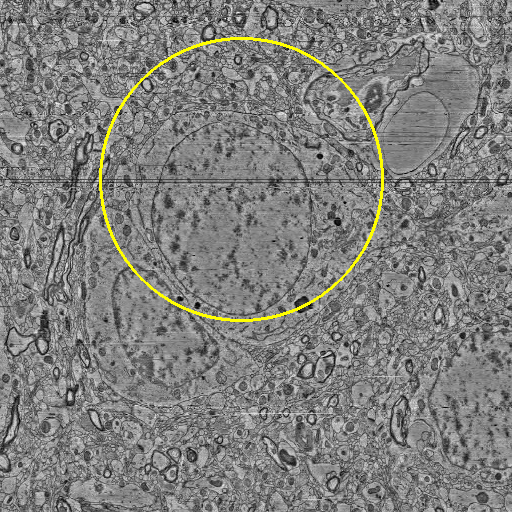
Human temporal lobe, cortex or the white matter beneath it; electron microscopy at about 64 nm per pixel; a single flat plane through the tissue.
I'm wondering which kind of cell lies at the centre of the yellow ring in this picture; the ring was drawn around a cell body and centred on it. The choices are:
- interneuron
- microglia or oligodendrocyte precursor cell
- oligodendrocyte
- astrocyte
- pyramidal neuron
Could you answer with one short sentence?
At the centre of the ring lies a pyramidal neuron.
